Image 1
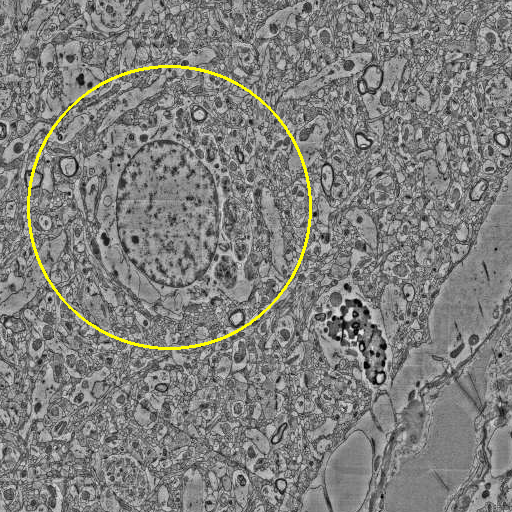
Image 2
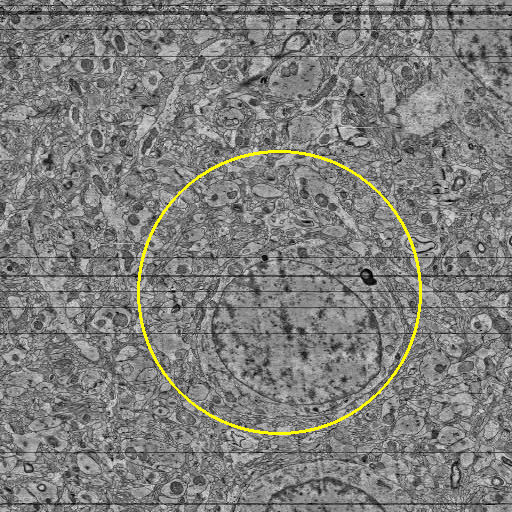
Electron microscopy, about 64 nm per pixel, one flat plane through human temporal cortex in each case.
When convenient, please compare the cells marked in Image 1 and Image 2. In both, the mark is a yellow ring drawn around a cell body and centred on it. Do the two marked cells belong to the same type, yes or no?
no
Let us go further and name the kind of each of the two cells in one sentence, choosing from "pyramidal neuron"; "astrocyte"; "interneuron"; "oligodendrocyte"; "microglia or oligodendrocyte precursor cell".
The ring of the first picture is on an astrocyte, the ring of the second on a pyramidal neuron.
